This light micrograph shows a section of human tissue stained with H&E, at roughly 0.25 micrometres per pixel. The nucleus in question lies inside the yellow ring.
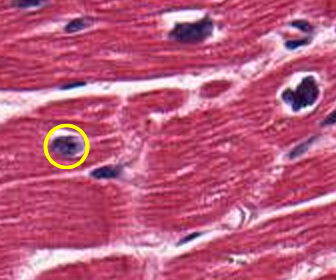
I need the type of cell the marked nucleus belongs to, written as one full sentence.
Here the marked nucleus is part of a cardiomyocyte.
